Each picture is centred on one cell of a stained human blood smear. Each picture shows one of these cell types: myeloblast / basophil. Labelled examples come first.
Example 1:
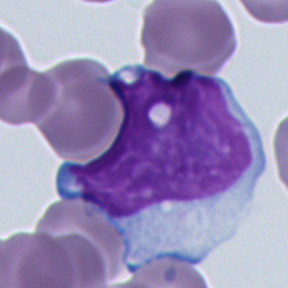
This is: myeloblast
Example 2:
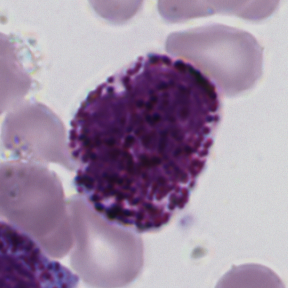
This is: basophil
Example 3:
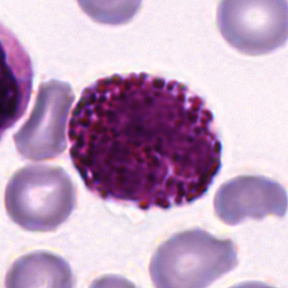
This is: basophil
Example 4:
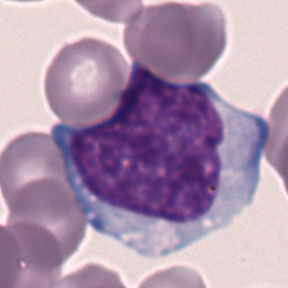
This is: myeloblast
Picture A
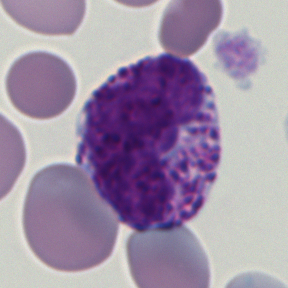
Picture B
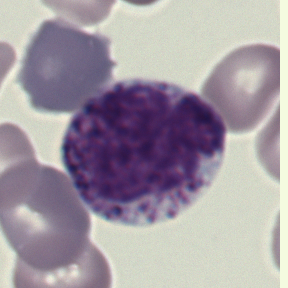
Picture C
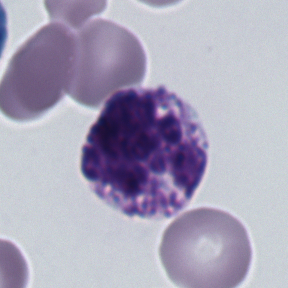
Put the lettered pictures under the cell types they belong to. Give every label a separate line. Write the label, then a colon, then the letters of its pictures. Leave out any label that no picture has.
basophil: A, B, C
